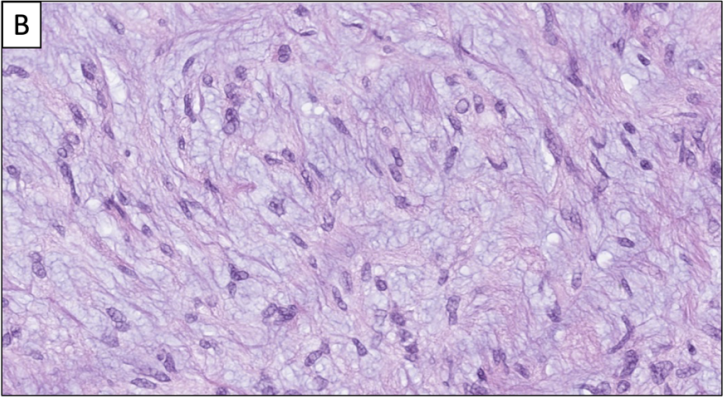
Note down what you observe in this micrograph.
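The background is a pale, bluish-purple loose matrix crossed by fine pink fibres, with small clear spaces. The tumor cells have elongated, sometimes wavy, dark purple nuclei that lie scattered and roughly aligned in one direction. Their cytoplasm is hard to make out and blends into the surrounding matrix. The nuclei are modest in size without striking irregularity.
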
